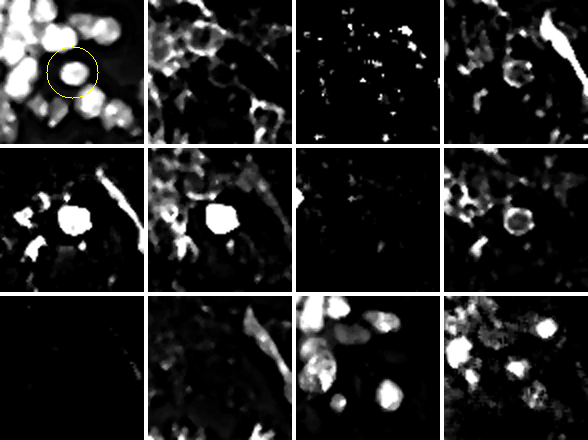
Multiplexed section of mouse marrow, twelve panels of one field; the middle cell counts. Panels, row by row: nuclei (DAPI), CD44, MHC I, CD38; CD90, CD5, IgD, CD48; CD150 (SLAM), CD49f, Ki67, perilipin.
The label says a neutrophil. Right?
Wrong: this is a T cell.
